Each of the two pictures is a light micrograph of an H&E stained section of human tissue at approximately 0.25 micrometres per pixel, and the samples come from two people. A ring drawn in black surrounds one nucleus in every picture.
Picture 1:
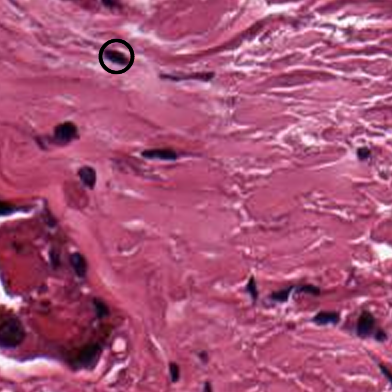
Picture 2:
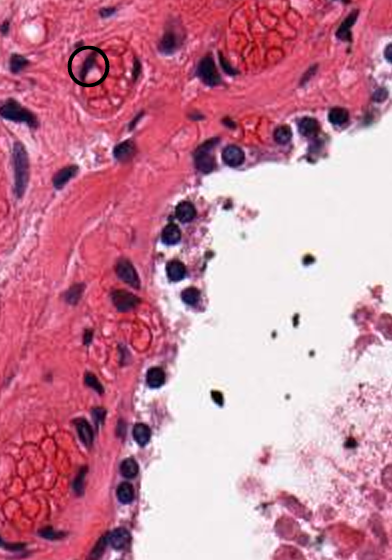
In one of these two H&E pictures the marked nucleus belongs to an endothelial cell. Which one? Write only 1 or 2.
2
